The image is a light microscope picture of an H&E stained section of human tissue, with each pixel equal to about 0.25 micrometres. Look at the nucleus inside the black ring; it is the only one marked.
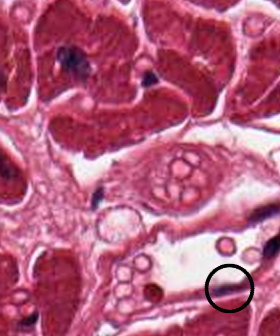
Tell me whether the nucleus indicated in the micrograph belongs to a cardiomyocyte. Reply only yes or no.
no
